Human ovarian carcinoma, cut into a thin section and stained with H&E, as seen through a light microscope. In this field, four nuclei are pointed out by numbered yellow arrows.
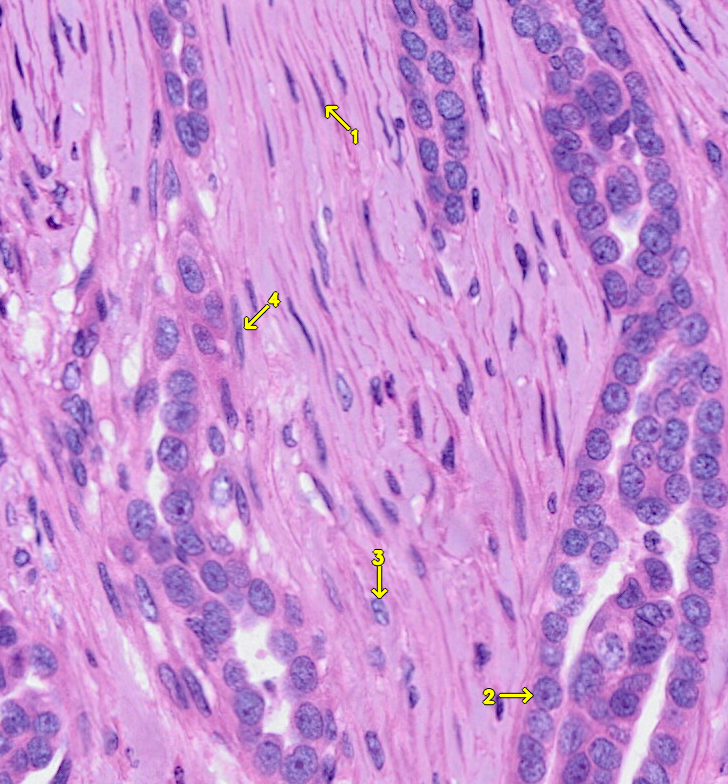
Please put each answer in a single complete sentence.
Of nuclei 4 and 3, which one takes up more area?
Number 4 is larger; its area is about 1.5 times that of number 3.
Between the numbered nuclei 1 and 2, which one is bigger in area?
Of the two, number 2 is bigger and takes up about 3 times the area of number 1.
